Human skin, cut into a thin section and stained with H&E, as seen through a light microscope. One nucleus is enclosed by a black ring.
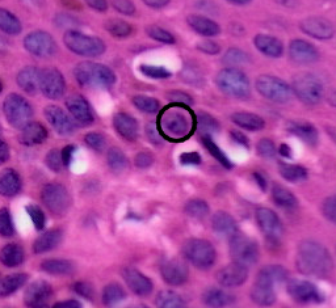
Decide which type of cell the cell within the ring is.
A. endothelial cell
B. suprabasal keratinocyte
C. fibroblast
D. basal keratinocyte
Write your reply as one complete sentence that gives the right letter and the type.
Since the cell within the ring is a basal keratinocyte, the right option is D.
